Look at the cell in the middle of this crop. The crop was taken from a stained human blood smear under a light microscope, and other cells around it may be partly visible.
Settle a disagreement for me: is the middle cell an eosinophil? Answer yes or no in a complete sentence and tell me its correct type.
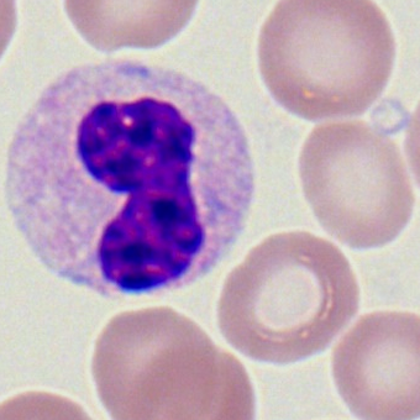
No, the central cell is not an eosinophil, being instead a band neutrophil.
